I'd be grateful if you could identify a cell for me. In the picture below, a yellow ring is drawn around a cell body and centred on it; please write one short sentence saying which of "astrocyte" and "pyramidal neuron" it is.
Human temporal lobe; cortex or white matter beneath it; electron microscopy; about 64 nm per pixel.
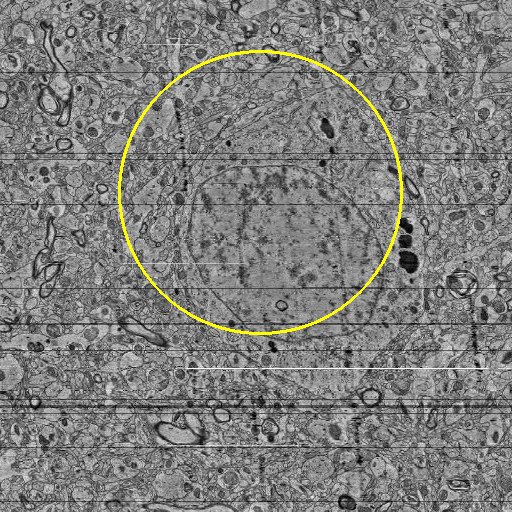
The cell under the ring's centre is a pyramidal neuron.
